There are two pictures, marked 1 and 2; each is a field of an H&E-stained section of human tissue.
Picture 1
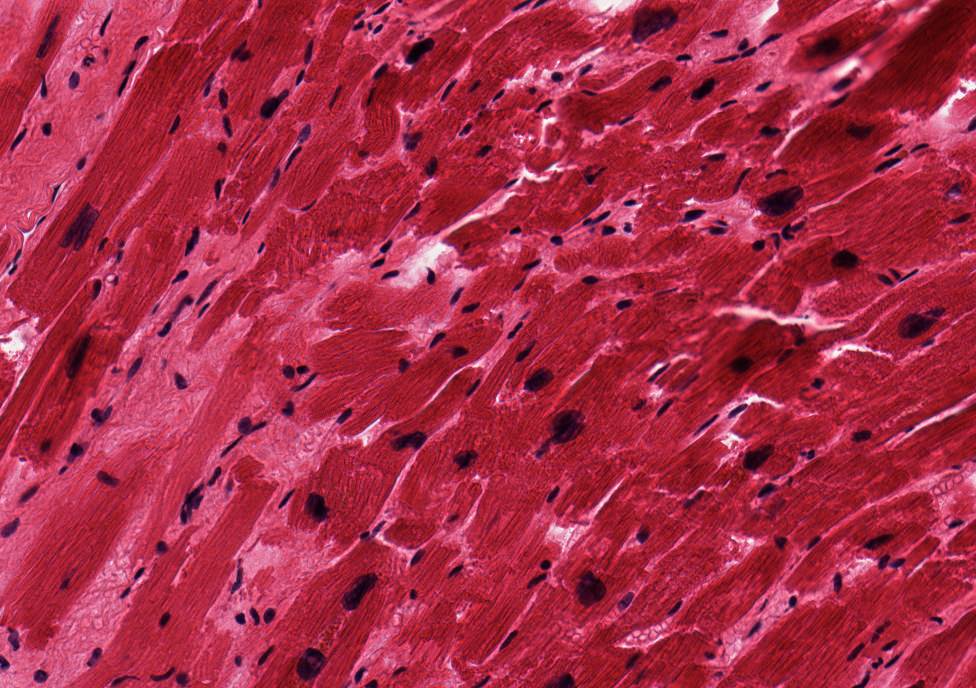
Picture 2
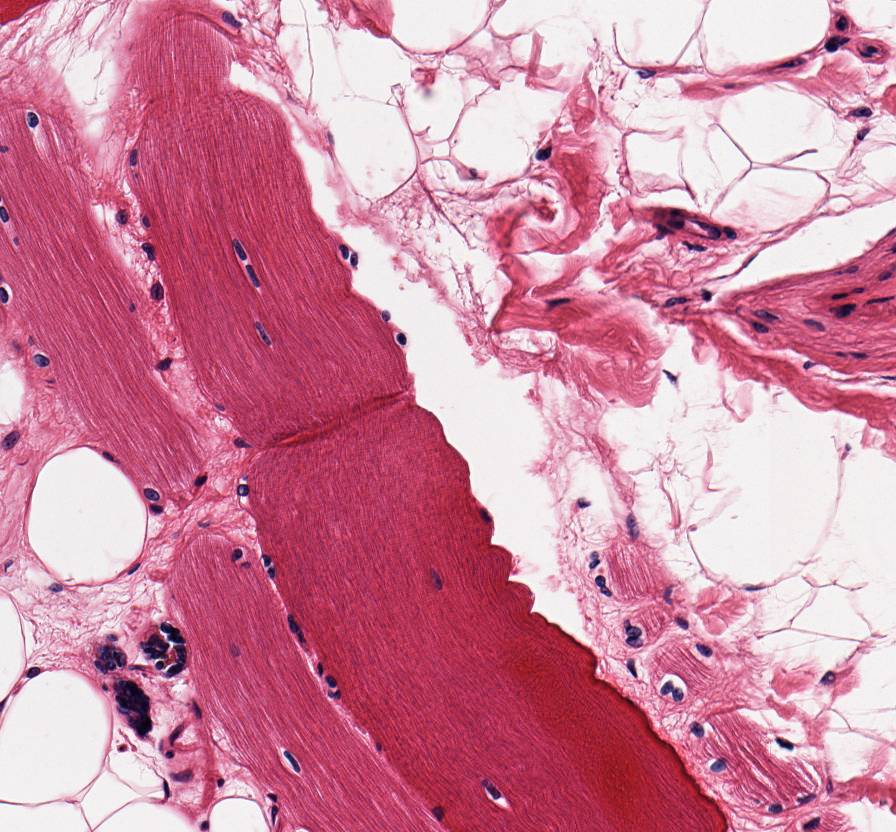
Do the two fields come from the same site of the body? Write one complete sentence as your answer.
No: picture 1 comes from the left ventricle of the heart, but picture 2 comes from skeletal muscle.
